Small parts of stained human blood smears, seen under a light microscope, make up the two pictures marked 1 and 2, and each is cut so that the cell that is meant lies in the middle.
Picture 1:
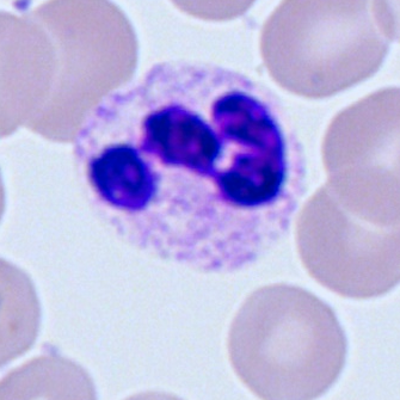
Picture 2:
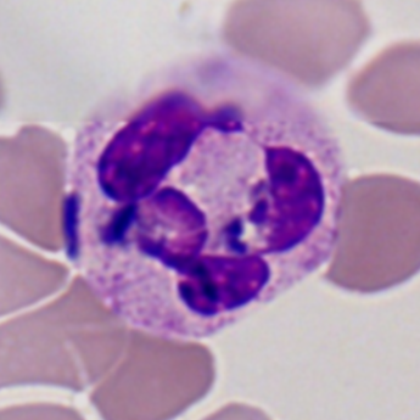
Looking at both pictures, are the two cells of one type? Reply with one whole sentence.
Yes, both are segmented neutrophils.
